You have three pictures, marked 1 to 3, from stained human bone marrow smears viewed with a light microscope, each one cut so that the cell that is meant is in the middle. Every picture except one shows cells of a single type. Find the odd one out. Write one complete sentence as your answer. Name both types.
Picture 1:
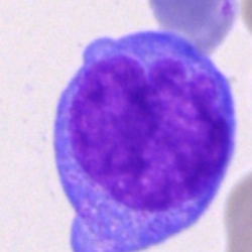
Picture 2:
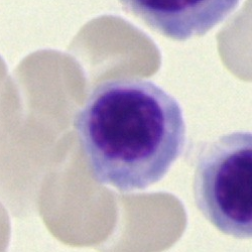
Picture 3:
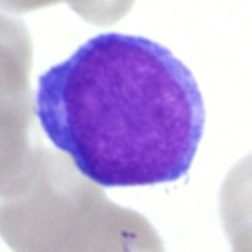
Picture 2 differs, because its cell is an erythroblast and the rest are blasts.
